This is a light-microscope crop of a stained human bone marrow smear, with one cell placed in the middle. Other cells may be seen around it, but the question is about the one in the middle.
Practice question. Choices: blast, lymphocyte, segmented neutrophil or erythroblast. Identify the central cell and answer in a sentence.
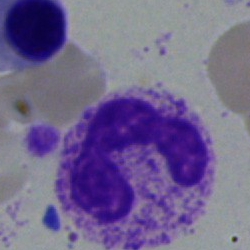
Answering briefly, the cell in the middle is a segmented neutrophil.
